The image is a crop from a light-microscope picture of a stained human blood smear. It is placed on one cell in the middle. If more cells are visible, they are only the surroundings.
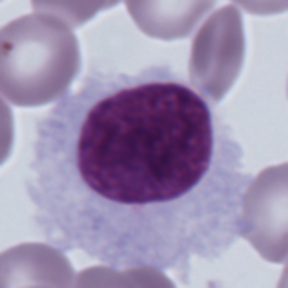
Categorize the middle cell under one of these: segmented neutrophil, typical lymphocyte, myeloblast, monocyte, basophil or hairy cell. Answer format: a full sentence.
By classification, the middle cell of this crop is a hairy cell.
